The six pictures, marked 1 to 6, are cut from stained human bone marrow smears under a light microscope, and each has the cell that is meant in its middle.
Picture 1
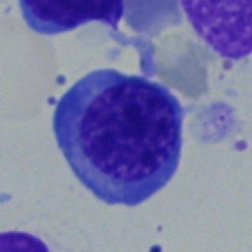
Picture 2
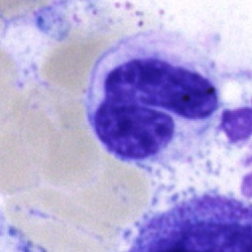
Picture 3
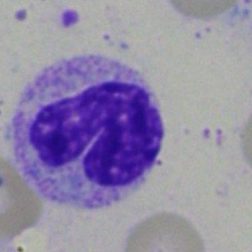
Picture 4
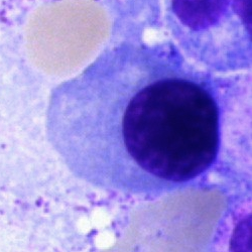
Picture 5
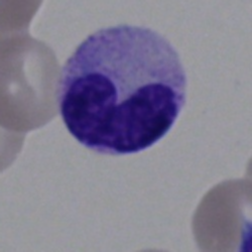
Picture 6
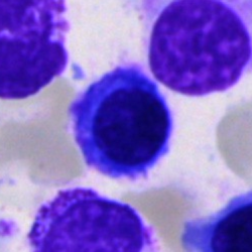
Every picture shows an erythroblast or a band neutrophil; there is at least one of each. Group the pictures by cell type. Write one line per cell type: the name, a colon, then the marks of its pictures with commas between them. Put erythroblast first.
erythroblast: 1, 4, 6
band neutrophil: 2, 3, 5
